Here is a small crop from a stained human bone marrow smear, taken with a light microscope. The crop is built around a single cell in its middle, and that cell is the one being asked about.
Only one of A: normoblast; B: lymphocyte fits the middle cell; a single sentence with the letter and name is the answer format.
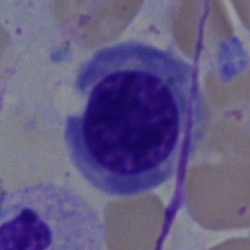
The cell at the centre is a normoblast, and option A accordingly is correct.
